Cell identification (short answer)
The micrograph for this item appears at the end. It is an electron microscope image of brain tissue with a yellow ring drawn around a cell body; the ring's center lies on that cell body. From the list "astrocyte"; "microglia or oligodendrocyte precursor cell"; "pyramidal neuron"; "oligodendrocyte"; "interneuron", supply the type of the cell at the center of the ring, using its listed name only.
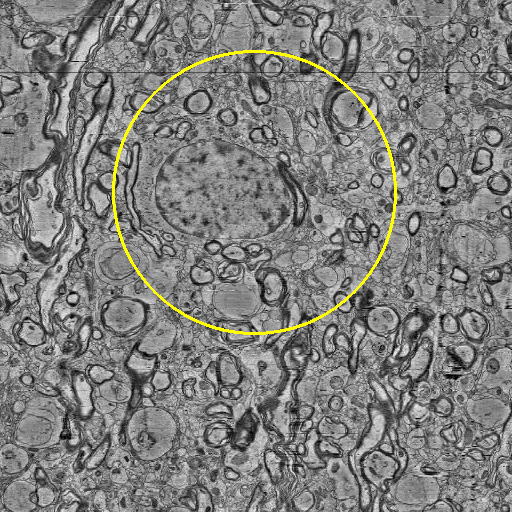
microglia or oligodendrocyte precursor cell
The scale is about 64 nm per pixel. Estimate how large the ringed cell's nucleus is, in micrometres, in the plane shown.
Approximately 8 x 7 micrometres in this plane.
